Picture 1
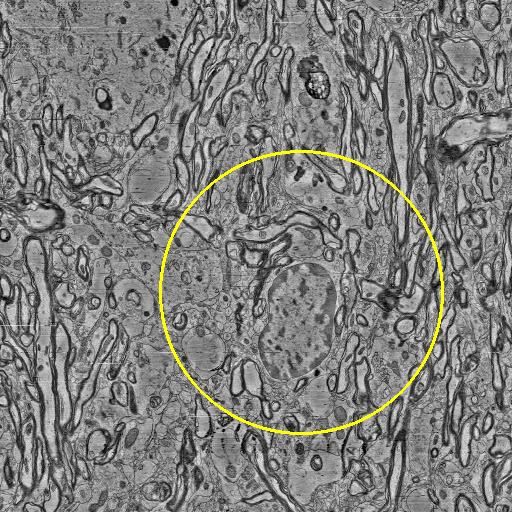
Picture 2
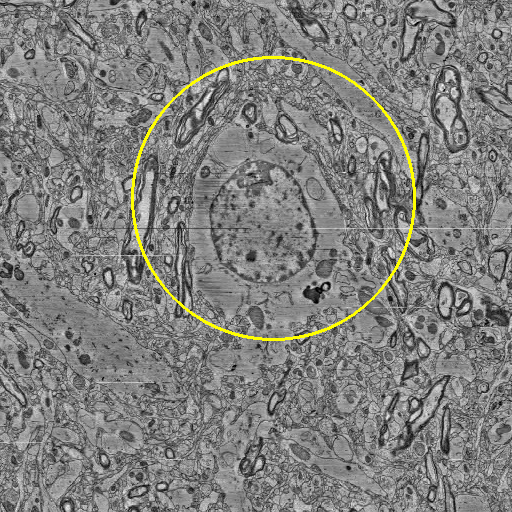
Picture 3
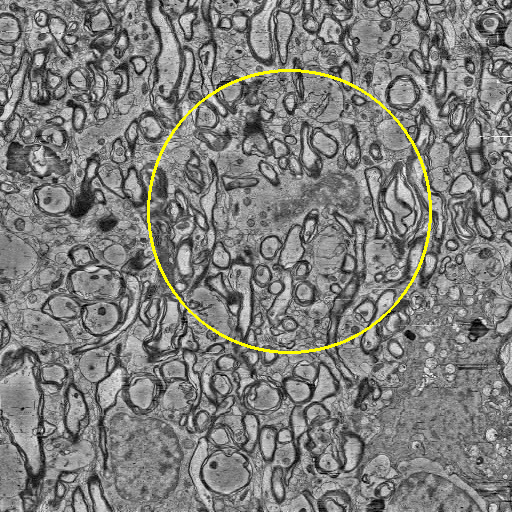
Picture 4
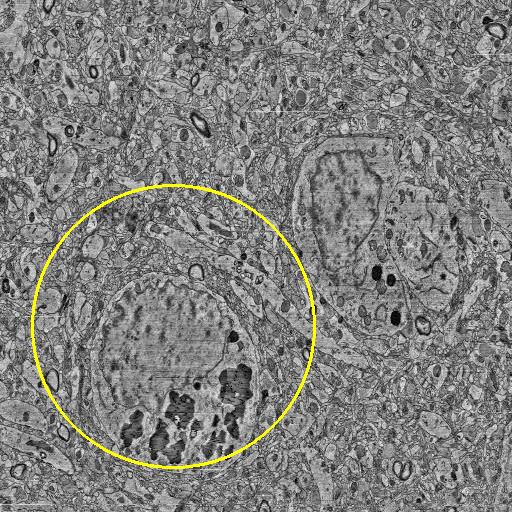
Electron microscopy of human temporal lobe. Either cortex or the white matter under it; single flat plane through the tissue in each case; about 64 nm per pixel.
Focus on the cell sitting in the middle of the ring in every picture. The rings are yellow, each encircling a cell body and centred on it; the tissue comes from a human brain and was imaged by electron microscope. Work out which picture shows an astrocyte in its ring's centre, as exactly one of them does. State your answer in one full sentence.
In picture 2, the ring is centred on the cell in question.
